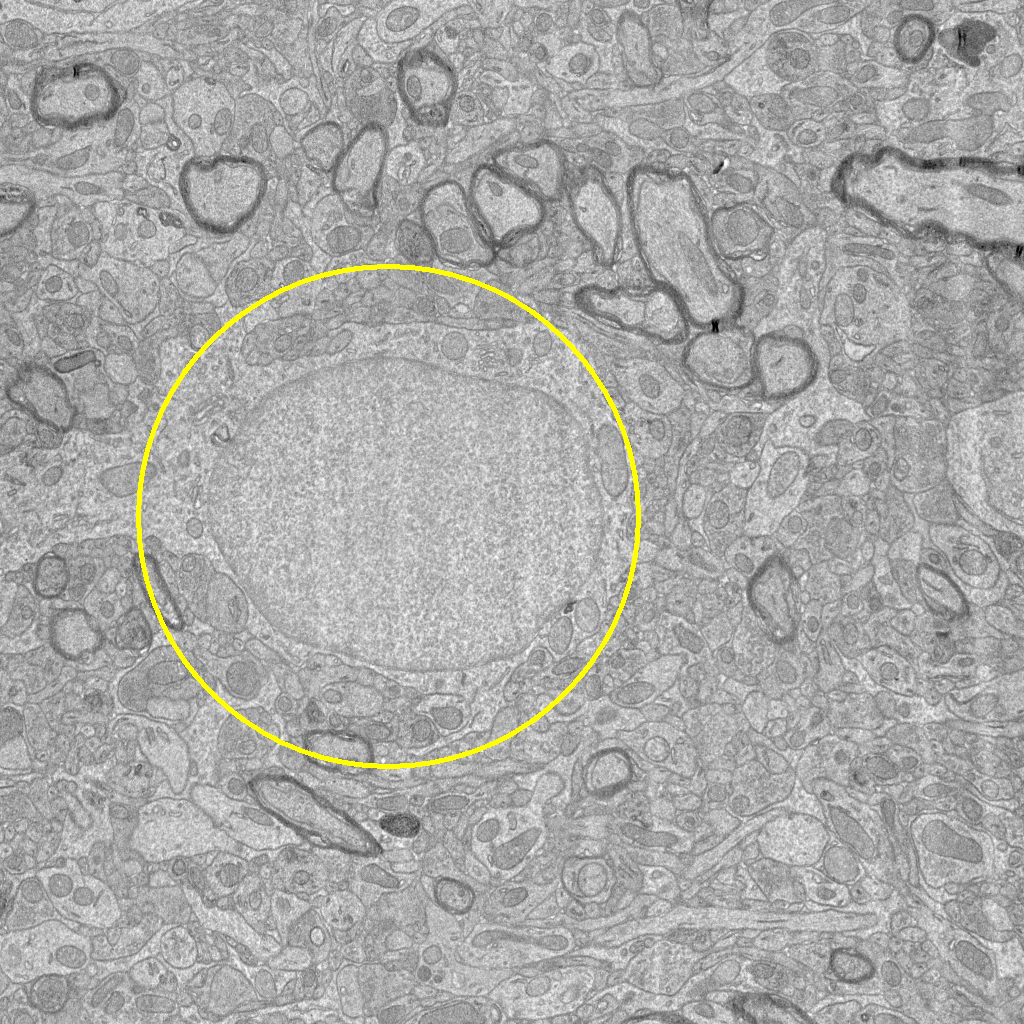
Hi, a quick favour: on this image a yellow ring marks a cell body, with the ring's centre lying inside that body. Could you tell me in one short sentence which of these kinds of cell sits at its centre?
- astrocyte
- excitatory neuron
The ring's centre lies in an astrocyte.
